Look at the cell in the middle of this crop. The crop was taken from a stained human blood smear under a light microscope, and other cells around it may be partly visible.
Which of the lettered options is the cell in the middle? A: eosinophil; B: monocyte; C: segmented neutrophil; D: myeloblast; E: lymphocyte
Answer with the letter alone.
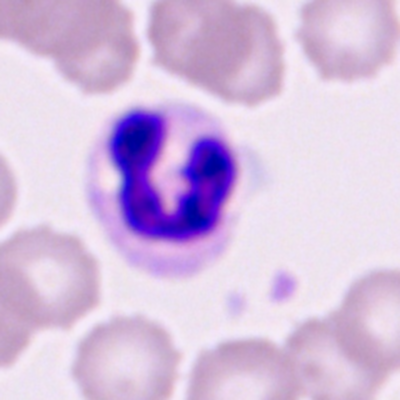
C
